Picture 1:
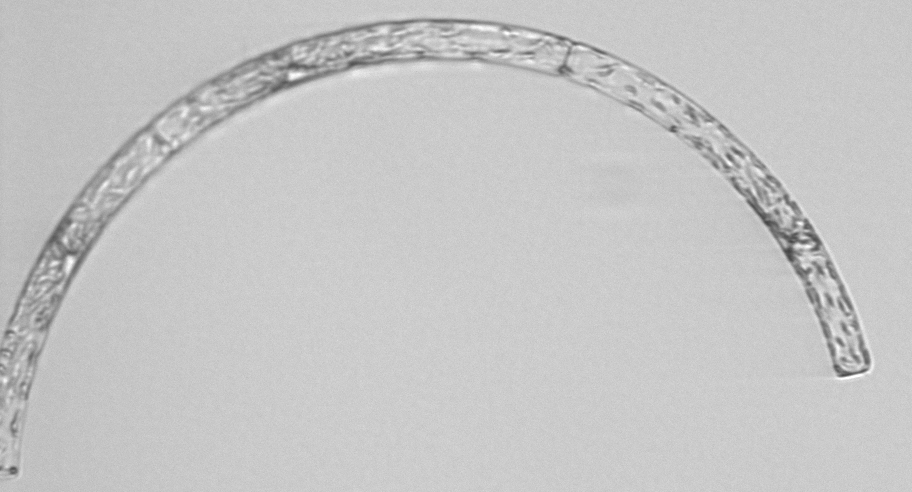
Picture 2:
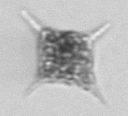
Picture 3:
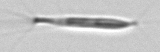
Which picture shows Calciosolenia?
Picture 3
